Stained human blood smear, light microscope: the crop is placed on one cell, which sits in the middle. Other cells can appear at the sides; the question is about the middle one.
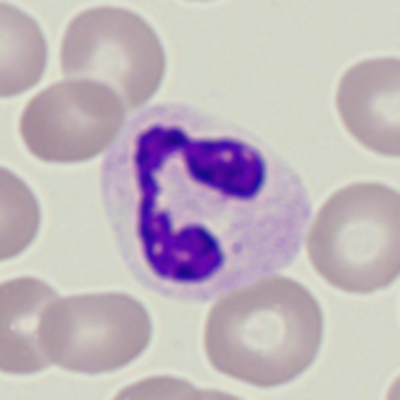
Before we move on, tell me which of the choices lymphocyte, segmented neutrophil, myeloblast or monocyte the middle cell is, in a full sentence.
The cell at the central position in this crop is a segmented neutrophil.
